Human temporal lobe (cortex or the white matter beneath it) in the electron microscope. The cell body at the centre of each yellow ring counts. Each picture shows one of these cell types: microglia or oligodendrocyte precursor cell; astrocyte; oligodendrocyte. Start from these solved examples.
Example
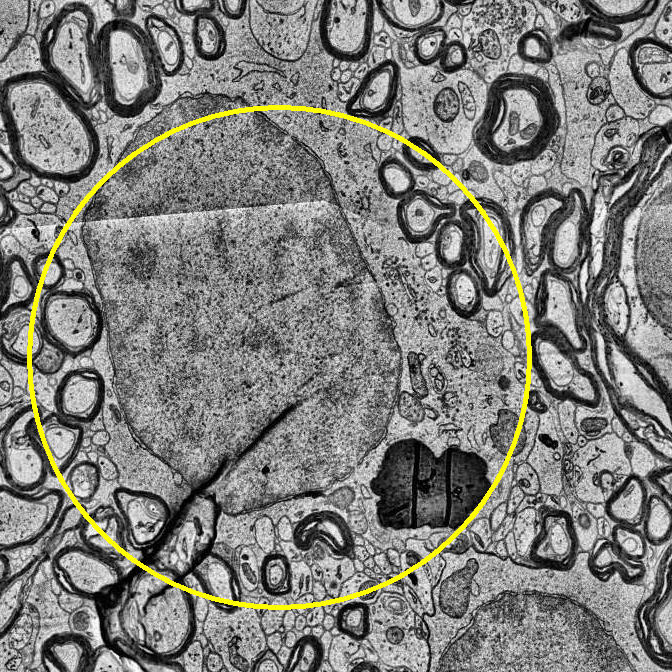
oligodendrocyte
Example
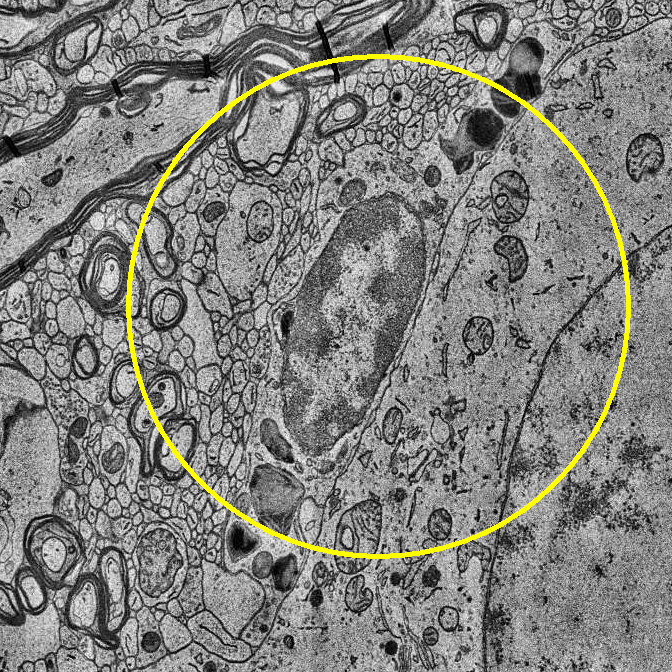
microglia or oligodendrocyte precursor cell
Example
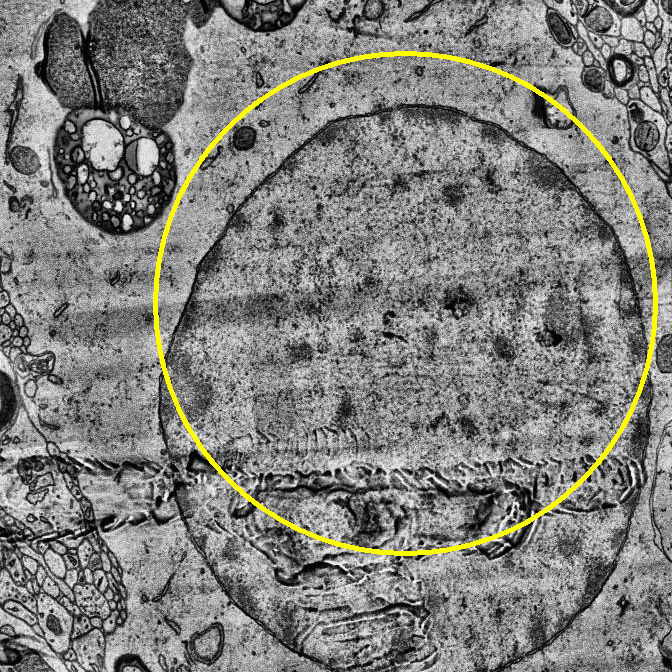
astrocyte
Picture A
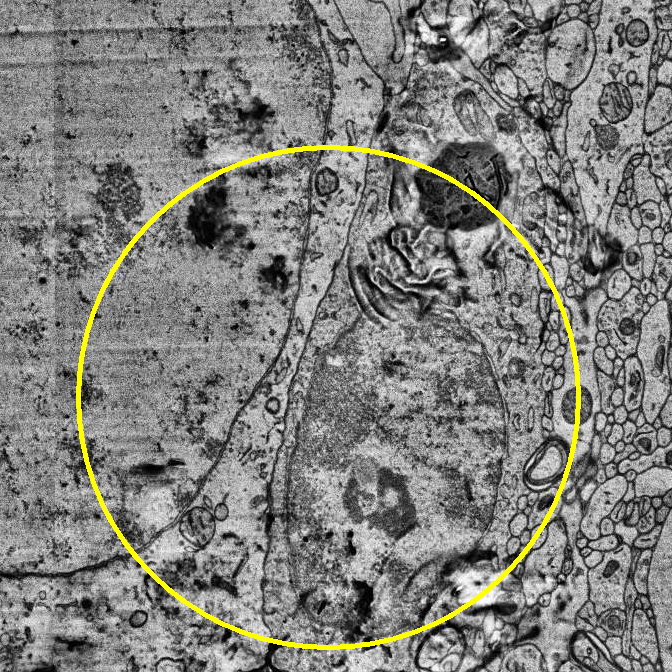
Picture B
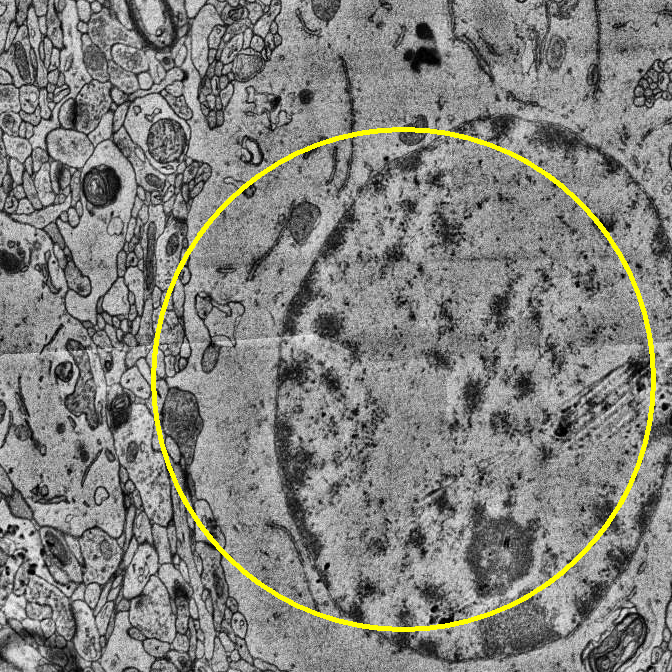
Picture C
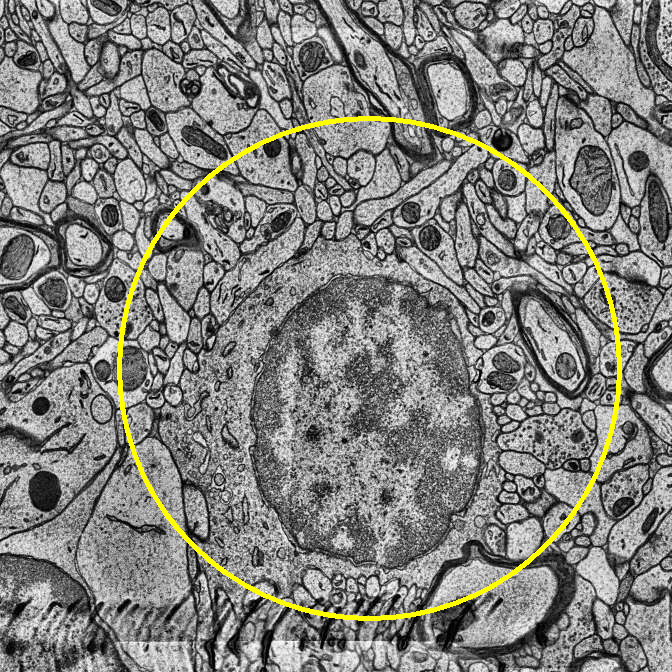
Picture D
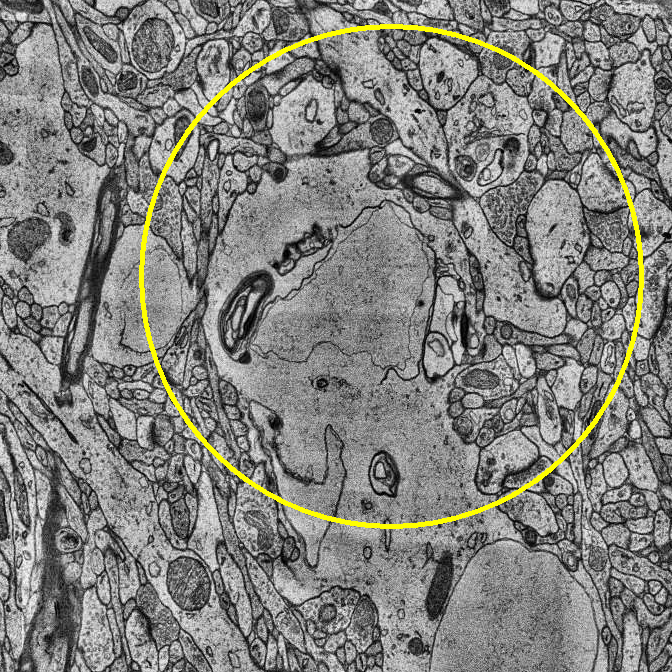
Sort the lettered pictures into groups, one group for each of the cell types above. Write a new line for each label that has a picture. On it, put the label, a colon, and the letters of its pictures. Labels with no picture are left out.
astrocyte: B, D
oligodendrocyte: A, C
